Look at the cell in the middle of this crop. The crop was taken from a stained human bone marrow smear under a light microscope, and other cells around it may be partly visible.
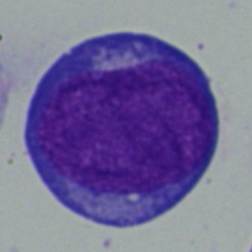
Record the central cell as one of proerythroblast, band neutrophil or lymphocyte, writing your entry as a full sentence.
The identification for the central cell is a proerythroblast.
